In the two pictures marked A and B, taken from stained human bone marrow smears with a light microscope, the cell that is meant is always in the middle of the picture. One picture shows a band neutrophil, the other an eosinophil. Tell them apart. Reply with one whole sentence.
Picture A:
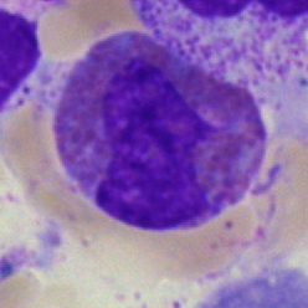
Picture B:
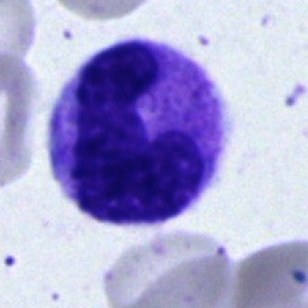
The cell in picture A is an eosinophil, and the one in picture B is a band neutrophil.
